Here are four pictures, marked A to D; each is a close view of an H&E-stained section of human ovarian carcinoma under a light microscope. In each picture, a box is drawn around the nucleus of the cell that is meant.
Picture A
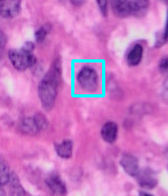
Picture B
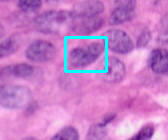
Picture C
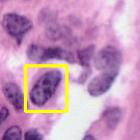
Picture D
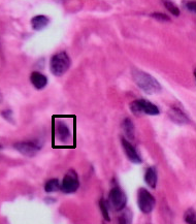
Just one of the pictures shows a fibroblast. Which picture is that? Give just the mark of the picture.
D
